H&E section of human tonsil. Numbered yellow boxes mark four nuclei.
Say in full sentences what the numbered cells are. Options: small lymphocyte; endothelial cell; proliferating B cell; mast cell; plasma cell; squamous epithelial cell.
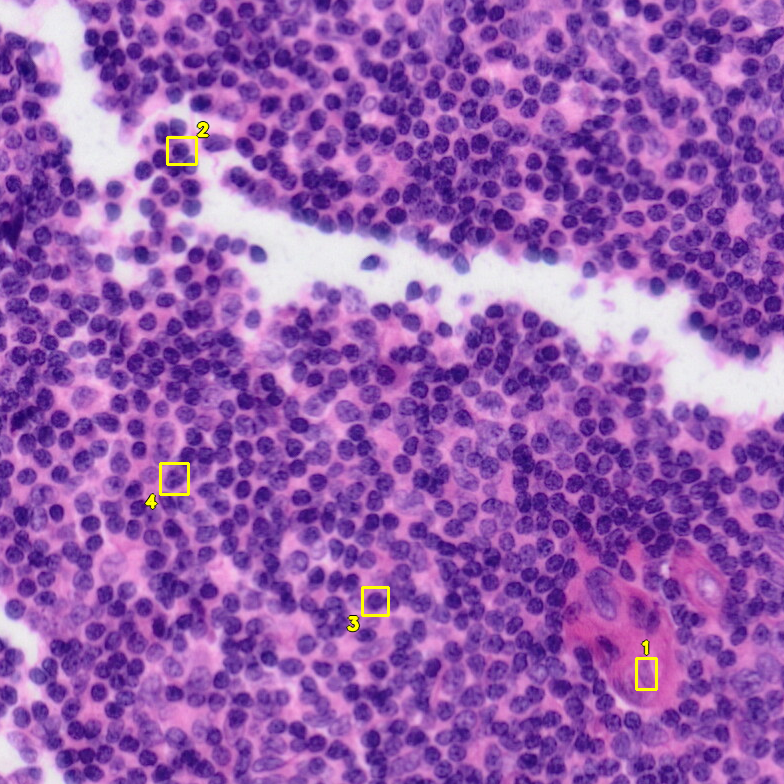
Cell 1 is an endothelial cell. Cells 2, 3 and 4 are small lymphocytes.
